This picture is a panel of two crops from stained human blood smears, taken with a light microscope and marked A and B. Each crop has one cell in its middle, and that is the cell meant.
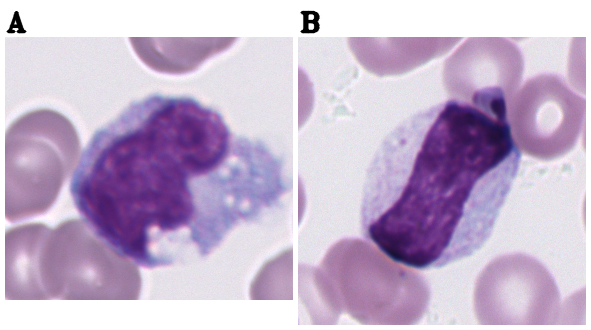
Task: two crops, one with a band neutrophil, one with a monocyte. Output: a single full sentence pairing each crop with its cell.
The designated cell in crop A is a monocyte, and the designated cell in crop B is a band neutrophil.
